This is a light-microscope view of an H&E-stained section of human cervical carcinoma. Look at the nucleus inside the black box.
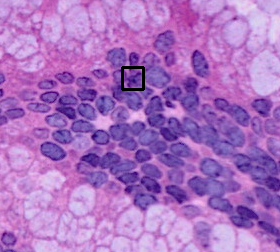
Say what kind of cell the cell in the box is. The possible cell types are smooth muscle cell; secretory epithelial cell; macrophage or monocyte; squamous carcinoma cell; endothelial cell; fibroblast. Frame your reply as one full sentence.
It is as a secretory epithelial cell that the cell in the box is recorded.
